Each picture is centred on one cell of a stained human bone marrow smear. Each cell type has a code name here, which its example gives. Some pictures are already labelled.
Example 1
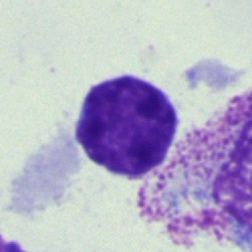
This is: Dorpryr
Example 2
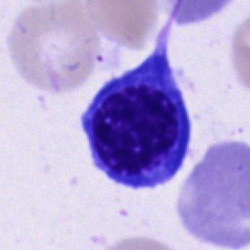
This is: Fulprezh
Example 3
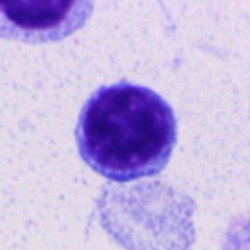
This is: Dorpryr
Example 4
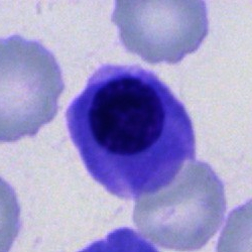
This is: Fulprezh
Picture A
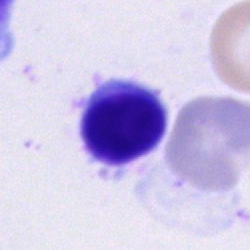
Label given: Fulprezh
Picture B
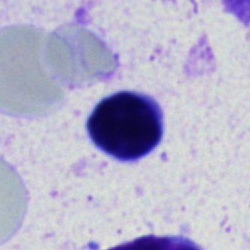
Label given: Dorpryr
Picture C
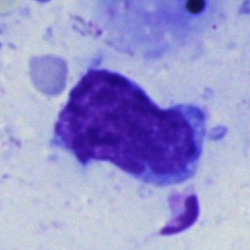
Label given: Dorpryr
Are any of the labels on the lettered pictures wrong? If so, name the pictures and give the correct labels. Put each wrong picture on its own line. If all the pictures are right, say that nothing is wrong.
A should be Dorpryr, not Fulprezh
